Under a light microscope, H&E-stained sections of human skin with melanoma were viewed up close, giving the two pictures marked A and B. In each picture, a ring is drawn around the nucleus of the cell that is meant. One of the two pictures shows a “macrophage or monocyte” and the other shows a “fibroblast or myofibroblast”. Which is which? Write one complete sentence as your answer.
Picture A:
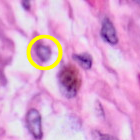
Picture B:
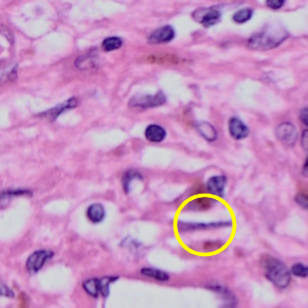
Picture A is of a “macrophage or monocyte”, and picture B is of a “fibroblast or myofibroblast”.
